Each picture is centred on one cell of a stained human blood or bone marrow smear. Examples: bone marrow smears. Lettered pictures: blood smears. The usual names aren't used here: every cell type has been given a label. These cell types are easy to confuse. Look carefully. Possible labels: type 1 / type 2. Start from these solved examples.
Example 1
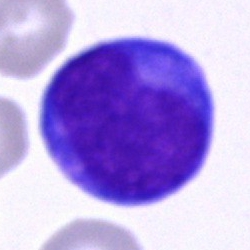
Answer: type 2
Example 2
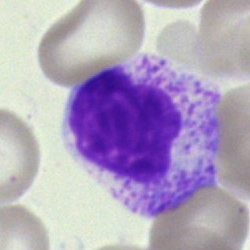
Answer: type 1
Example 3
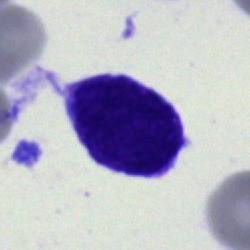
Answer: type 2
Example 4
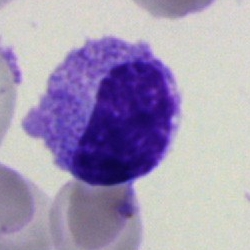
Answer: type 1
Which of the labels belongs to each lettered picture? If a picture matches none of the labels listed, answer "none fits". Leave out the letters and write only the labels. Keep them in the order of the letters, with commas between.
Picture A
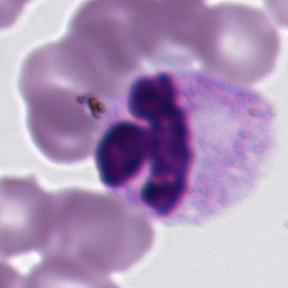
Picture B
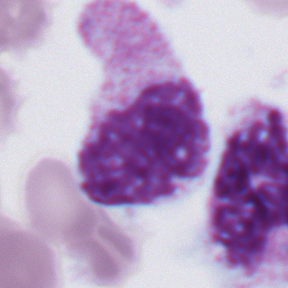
none fits, none fits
